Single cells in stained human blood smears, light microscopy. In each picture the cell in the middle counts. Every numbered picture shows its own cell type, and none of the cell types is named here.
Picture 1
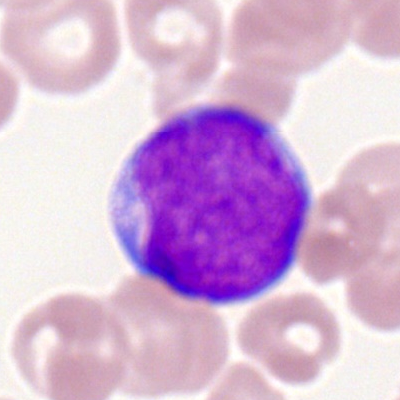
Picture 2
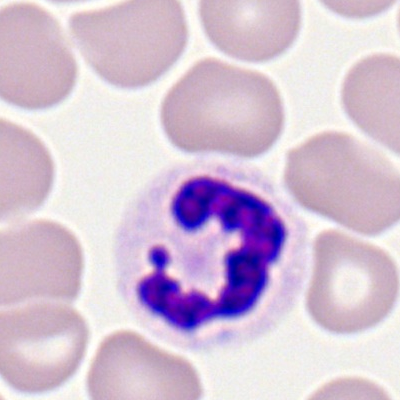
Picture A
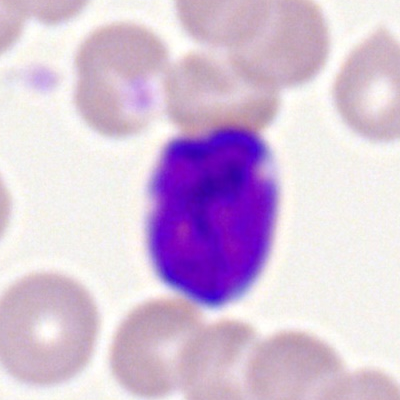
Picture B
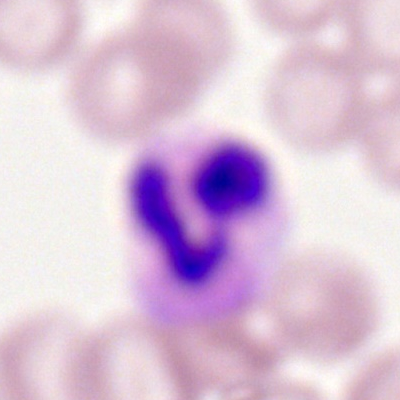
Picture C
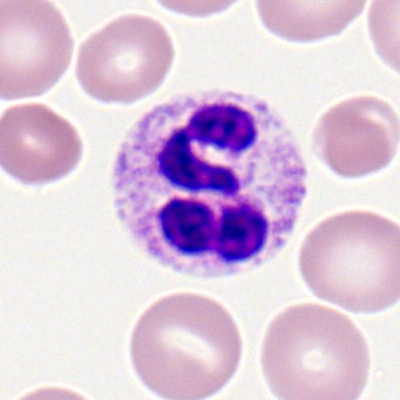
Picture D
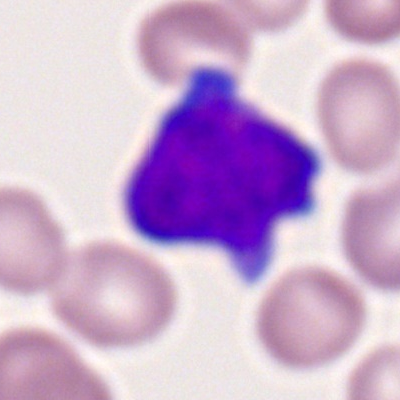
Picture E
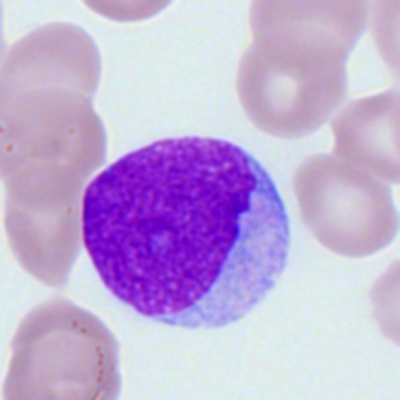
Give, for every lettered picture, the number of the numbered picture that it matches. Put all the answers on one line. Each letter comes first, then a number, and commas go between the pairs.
A 1, B 2, C 2, D 1, E 1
